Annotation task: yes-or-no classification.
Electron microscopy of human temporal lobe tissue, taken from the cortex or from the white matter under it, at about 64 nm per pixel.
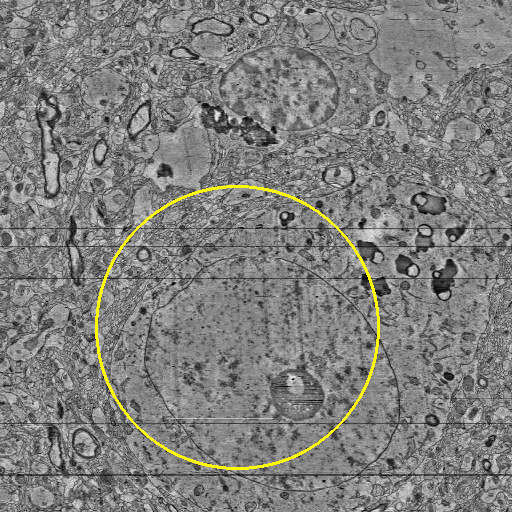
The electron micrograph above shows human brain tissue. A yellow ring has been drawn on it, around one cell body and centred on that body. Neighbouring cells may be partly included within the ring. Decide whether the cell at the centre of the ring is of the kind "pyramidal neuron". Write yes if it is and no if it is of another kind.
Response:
yes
